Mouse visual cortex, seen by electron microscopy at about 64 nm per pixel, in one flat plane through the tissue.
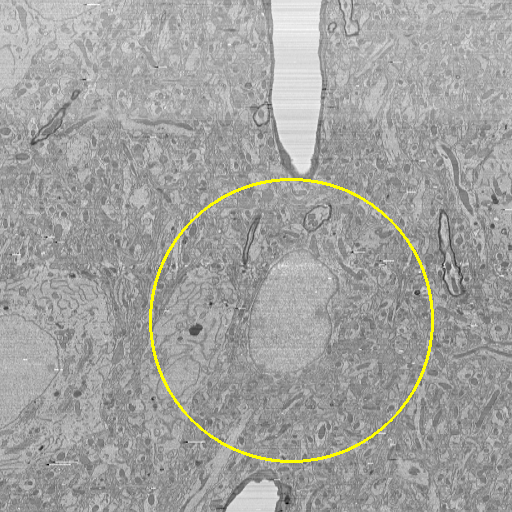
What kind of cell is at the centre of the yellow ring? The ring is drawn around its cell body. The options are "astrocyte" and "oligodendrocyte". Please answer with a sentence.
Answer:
The yellow ring marks the cell body of an astrocyte.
